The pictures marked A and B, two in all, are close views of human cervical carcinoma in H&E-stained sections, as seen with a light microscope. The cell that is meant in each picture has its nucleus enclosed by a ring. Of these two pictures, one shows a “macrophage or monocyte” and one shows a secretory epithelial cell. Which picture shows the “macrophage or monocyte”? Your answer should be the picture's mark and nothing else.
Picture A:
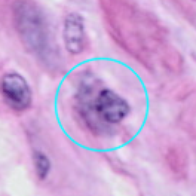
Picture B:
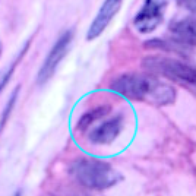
A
